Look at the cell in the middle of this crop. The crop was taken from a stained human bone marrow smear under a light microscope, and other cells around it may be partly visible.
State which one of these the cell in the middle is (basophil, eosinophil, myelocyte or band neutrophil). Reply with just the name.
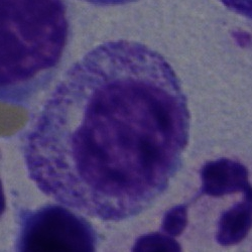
myelocyte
